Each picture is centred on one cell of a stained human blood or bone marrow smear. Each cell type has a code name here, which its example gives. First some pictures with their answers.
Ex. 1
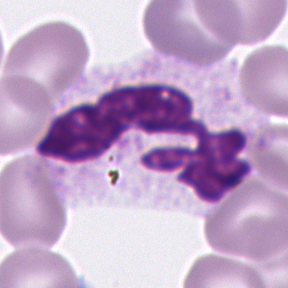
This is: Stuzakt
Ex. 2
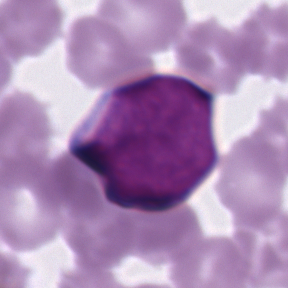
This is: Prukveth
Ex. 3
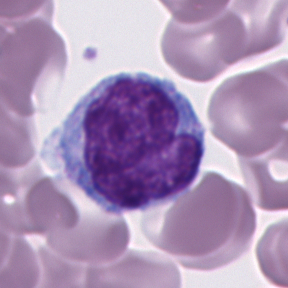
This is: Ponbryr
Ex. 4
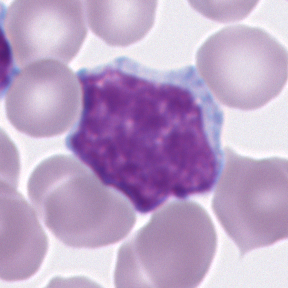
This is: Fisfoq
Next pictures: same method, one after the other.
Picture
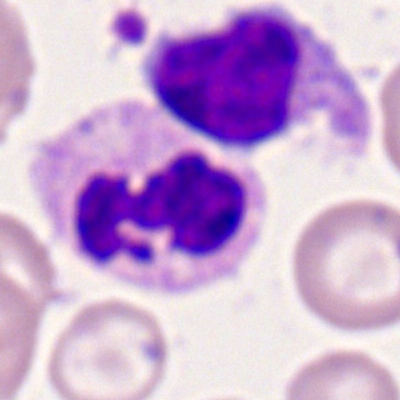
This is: Stuzakt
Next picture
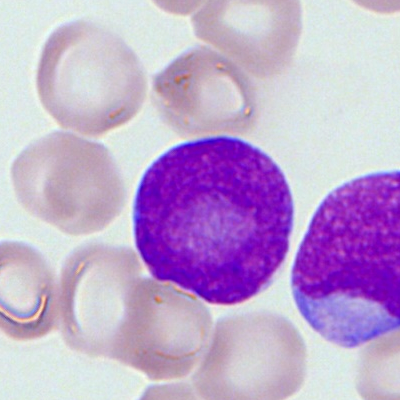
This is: Prukveth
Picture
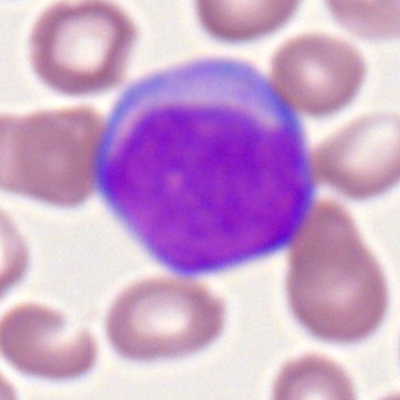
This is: Prukveth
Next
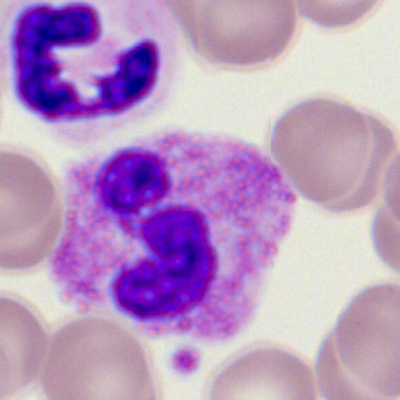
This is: Stuzakt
